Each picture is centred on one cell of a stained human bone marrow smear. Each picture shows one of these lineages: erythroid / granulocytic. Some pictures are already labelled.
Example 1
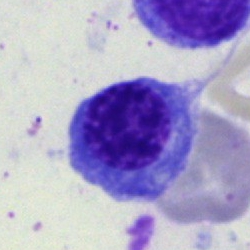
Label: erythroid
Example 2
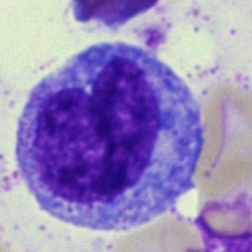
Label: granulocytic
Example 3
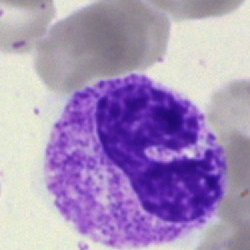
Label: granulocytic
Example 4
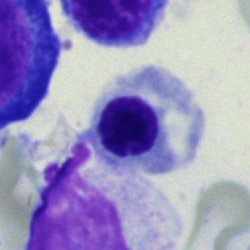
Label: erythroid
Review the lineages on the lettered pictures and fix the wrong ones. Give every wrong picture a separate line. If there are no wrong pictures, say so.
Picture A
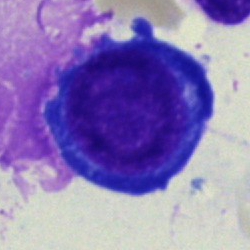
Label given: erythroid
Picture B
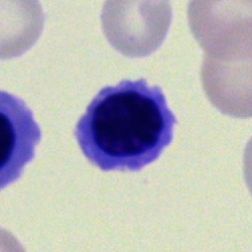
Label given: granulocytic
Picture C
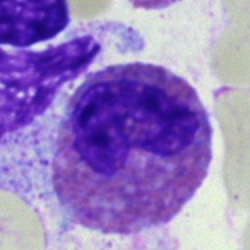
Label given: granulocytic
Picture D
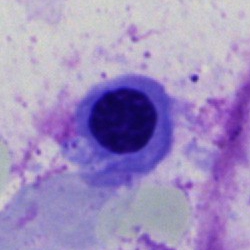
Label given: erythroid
Wrong: B (granulocytic); correct: erythroid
